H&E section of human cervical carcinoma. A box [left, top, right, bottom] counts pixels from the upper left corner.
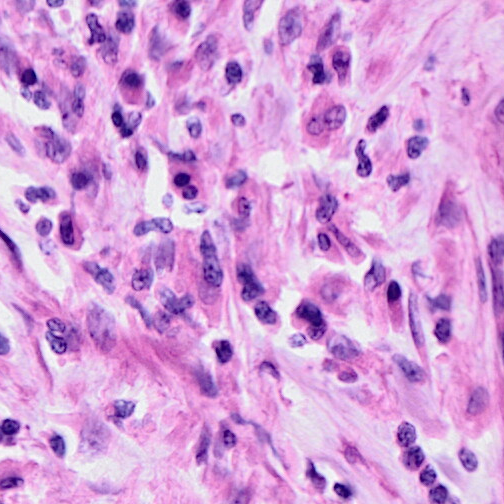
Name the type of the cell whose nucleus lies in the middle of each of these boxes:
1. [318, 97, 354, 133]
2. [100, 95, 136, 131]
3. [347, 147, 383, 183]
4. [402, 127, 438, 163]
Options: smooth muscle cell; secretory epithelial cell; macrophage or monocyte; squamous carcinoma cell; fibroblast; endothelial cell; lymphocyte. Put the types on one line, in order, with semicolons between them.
macrophage or monocyte; lymphocyte; lymphocyte; lymphocyte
